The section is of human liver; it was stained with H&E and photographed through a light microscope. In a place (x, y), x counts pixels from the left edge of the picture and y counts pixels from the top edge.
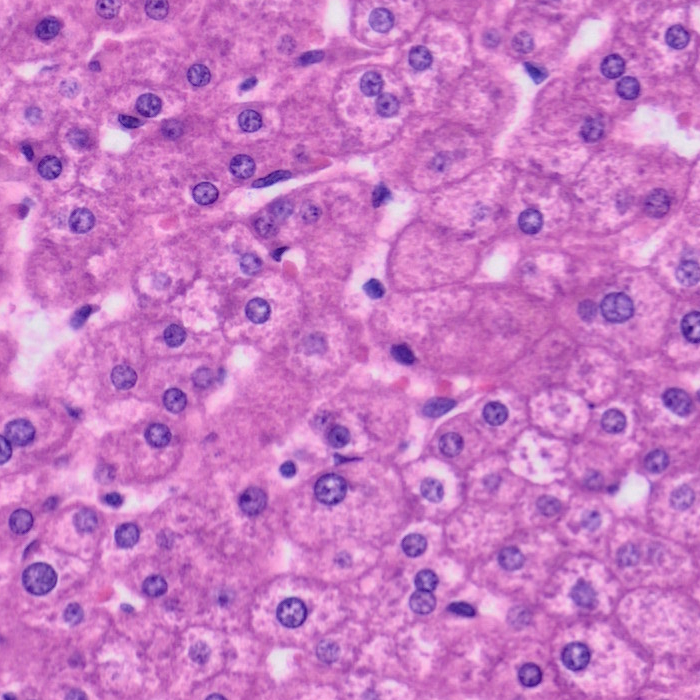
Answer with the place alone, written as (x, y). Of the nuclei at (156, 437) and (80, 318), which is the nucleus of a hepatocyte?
(156, 437)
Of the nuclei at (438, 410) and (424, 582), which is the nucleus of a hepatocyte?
(424, 582)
